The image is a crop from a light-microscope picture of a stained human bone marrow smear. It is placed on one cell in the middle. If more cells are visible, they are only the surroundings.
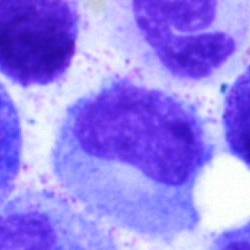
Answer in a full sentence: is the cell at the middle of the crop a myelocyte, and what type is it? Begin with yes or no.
No, it isn't a myelocyte; what sits in the middle is a metamyelocyte.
